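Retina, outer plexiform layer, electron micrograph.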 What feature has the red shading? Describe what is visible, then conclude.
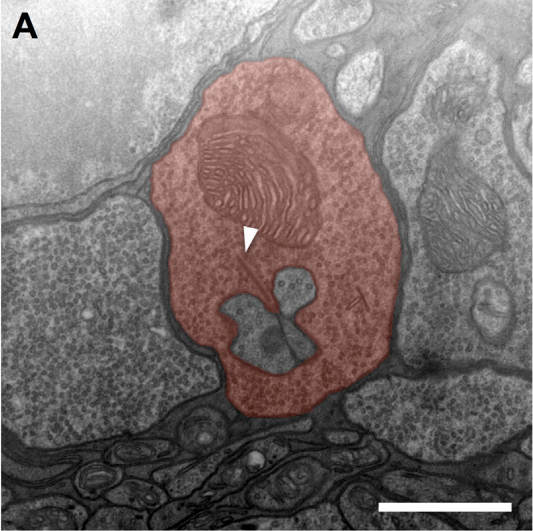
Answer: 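Rod spherules. The red-shaded profile is a rounded terminal packed with small round vesicles. It contains a large mitochondrion. It has a single deep invagination holding a few small postsynaptic profiles.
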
